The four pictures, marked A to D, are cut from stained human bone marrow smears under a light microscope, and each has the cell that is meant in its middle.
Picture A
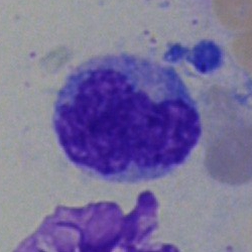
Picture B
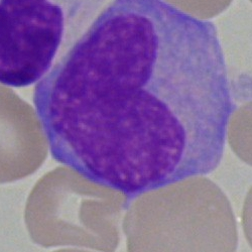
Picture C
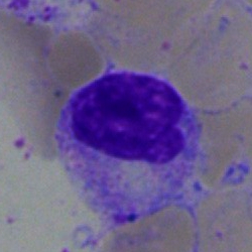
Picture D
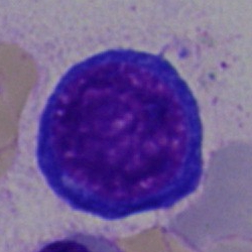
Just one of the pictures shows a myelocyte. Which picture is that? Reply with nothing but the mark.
C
